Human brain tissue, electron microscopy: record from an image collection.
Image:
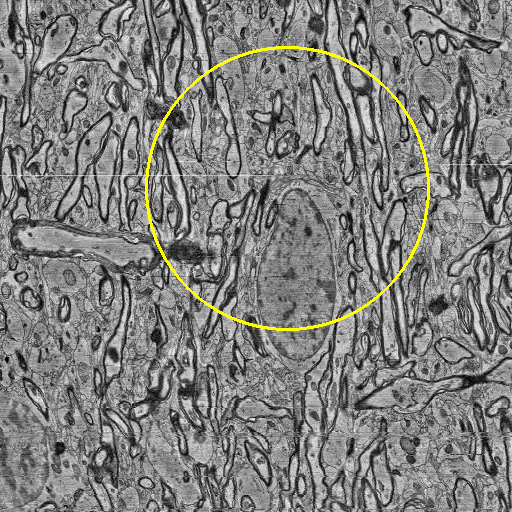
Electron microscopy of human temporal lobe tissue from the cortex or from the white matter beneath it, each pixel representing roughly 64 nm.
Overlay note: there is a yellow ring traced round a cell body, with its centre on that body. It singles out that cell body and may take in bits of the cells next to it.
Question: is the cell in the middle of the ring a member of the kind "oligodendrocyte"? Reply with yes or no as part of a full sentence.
No, the image's ringed cell, the one at the ring's centre, is a member of another kind.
